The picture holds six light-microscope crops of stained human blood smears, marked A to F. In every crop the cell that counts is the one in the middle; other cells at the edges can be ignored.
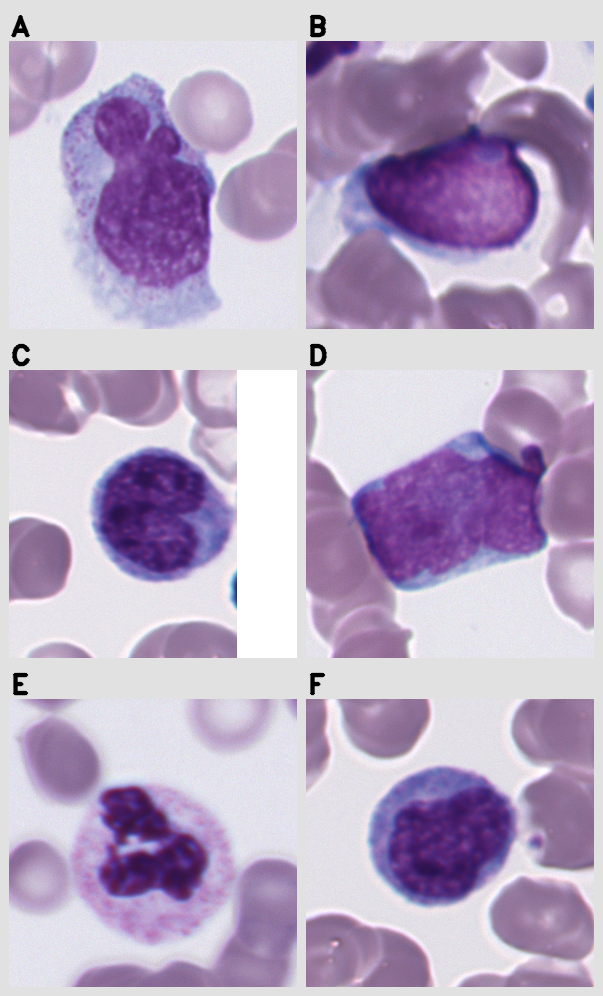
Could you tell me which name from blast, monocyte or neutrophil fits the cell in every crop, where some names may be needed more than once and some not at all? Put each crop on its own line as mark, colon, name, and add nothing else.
A: blast
B: blast
C: monocyte
D: blast
E: neutrophil
F: monocyte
